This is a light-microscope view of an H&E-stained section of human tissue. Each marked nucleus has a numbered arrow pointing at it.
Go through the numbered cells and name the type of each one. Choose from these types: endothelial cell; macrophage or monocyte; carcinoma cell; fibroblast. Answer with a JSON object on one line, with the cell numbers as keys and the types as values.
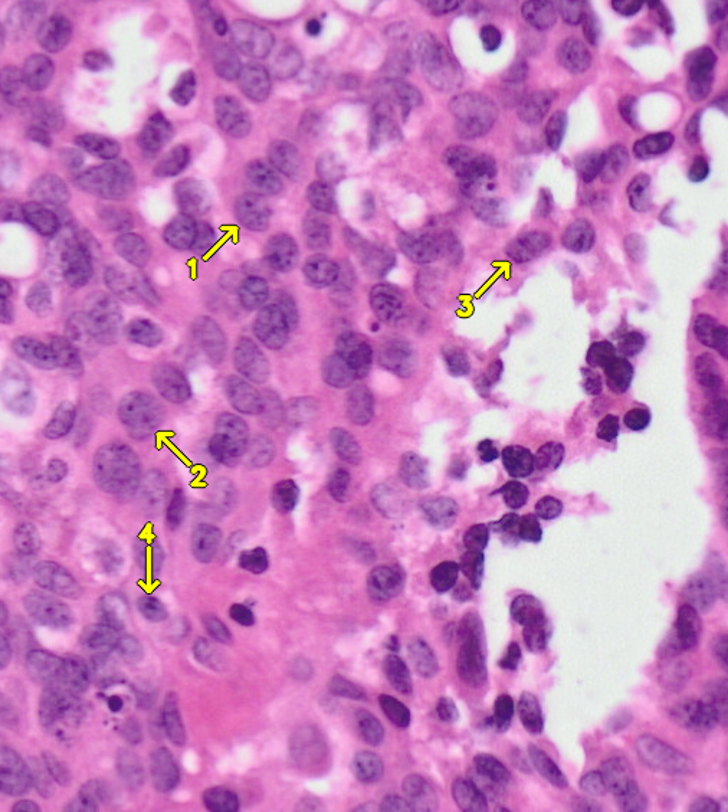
{"1": "carcinoma cell", "2": "carcinoma cell", "3": "carcinoma cell", "4": "macrophage or monocyte"}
